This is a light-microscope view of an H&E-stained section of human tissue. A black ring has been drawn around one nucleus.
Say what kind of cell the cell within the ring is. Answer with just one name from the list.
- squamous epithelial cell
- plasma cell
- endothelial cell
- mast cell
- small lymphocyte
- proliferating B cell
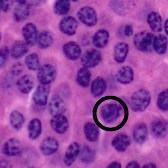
plasma cell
